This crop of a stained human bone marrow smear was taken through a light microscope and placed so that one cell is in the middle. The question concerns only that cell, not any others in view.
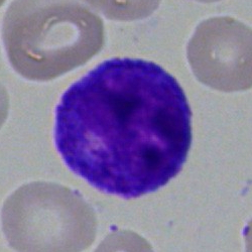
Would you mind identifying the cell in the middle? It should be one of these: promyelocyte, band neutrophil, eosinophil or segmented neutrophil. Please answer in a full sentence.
The cell under consideration, at the middle of the crop, is a promyelocyte.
